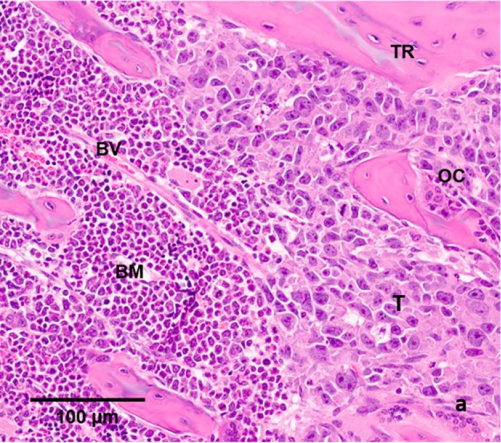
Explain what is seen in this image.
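The tumor cells are large and polygonal with abundant pale pink cytoplasm and big, vesicular, pleomorphic nuclei with prominent nucleoli. The bone marrow on the left is densely packed with small round cells with dark purple nuclei. Pink, eosinophilic bone trabeculae run across the field, bordered in places by the tumor sheets. A large multinucleated cell sits against a trabecular surface within the tumor area.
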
